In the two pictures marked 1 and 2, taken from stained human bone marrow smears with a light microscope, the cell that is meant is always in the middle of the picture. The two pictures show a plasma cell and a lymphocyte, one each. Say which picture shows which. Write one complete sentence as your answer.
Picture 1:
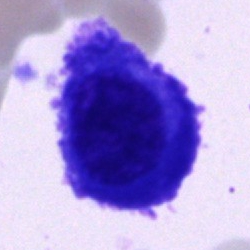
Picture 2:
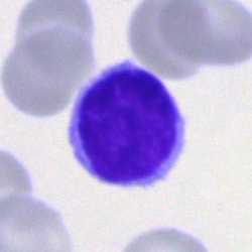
Picture 1 shows a plasma cell and picture 2 shows a lymphocyte.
